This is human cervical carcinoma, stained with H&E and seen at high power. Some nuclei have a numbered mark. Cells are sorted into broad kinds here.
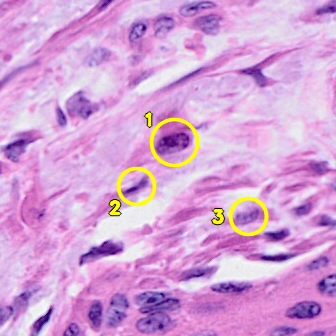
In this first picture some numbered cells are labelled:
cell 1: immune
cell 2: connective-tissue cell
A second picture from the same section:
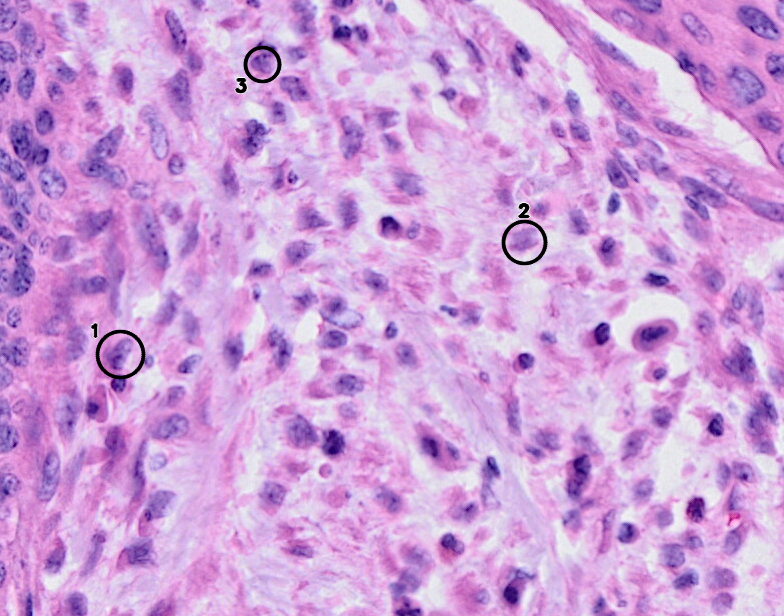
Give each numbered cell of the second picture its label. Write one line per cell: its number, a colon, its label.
1: immune
2: connective-tissue cell
3: immune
